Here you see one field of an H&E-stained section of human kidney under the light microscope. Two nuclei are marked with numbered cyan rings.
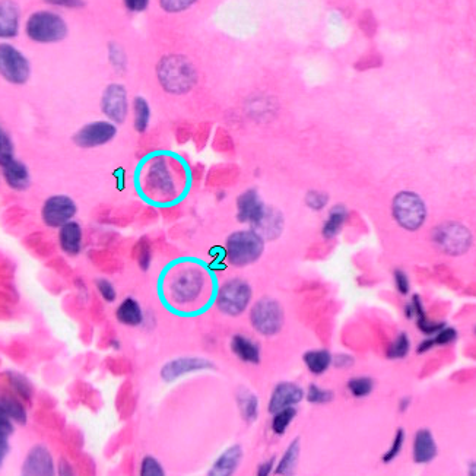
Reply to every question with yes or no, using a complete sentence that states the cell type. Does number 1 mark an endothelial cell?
Yes, the cell to which number 1 refers is an endothelial cell.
